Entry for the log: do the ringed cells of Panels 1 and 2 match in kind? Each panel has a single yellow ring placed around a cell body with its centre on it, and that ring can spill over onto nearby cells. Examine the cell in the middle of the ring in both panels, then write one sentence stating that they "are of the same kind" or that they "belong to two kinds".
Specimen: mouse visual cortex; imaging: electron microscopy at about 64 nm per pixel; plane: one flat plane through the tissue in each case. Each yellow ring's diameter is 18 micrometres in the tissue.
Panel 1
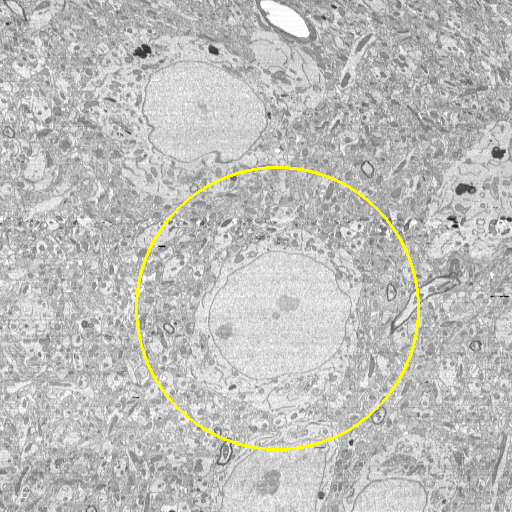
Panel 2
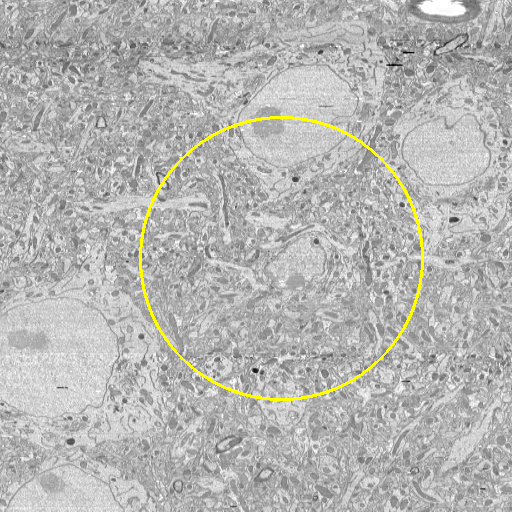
The centre cell of Panel 1's ring and that of Panel 2's ring belong to two kinds.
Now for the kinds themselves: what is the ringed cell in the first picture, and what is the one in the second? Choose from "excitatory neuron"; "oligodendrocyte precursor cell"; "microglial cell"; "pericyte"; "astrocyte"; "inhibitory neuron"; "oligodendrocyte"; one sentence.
Here the first cell is an excitatory neuron and the second cell is an oligodendrocyte precursor cell.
